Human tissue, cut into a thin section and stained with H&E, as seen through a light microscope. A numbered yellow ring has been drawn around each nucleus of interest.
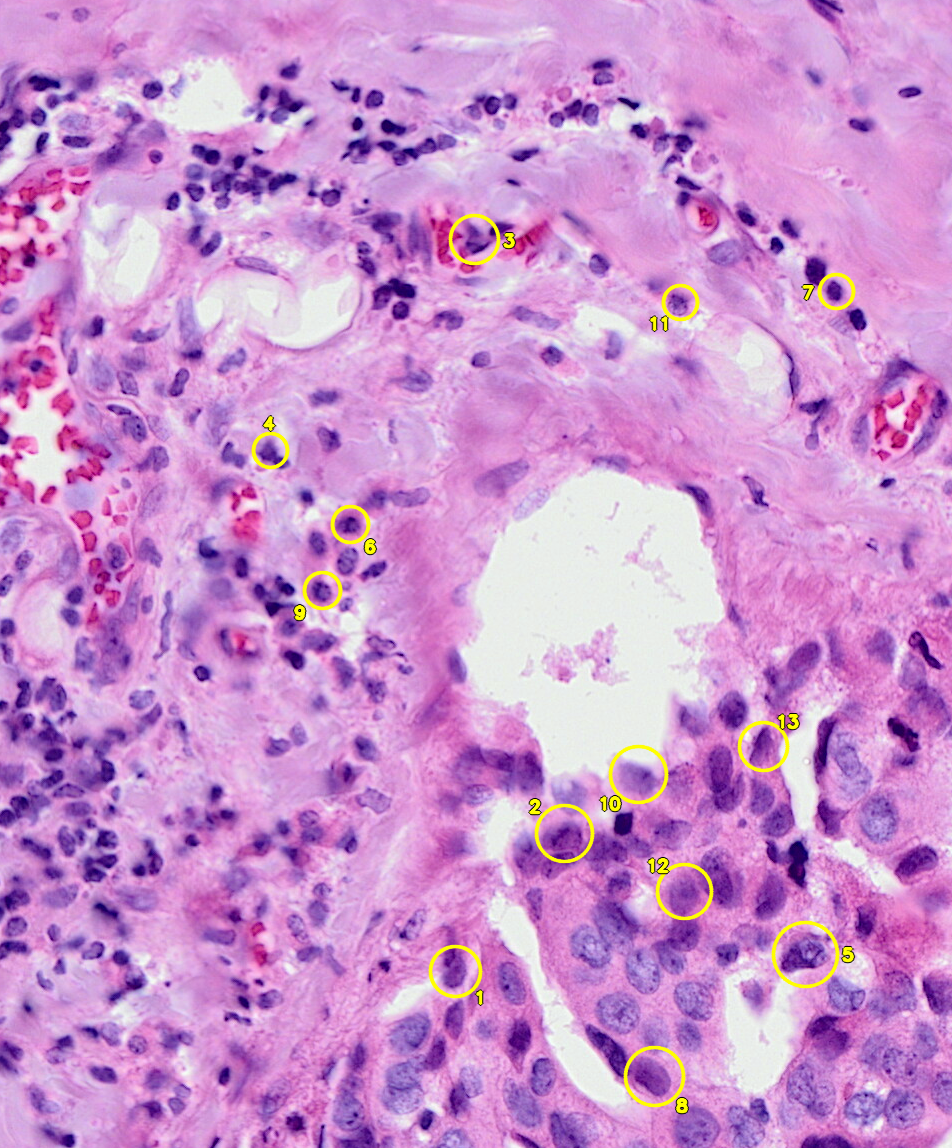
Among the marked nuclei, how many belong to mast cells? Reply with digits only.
3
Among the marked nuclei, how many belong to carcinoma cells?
7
